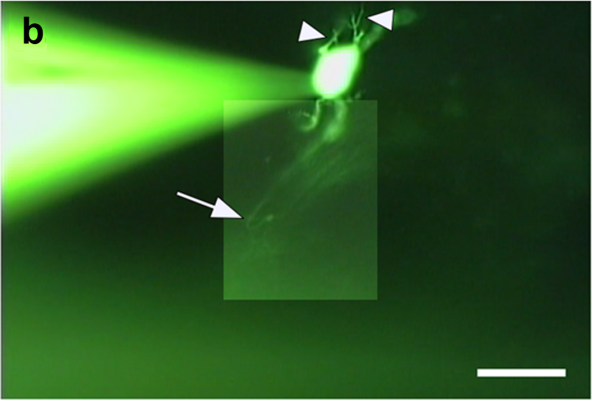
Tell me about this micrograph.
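The rounded cell body glows intensely at the pipette tip, and a few short, fine dendritic processes branch from its upper side. The surrounding tissue is dark and unlabelled.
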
